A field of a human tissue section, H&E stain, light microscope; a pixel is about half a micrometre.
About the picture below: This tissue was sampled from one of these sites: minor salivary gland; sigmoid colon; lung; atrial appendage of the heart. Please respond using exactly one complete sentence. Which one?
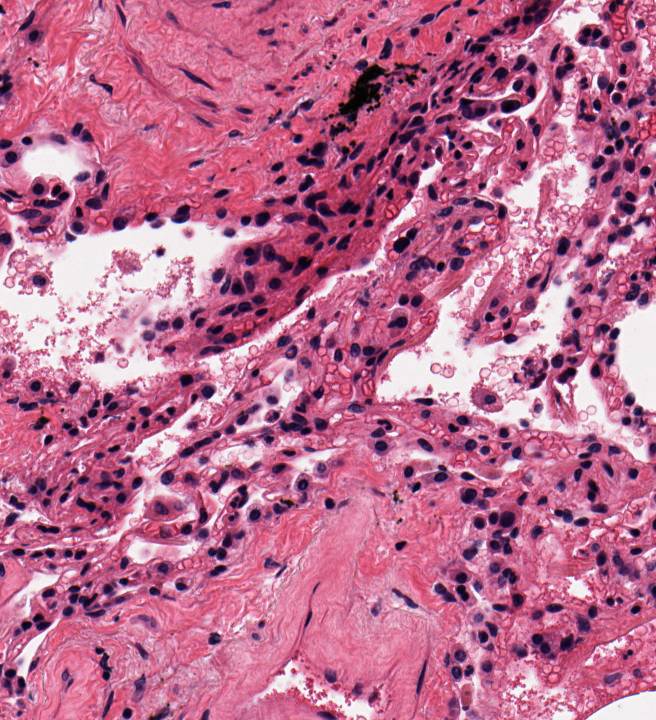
This section represents tissue sampled from the lung.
